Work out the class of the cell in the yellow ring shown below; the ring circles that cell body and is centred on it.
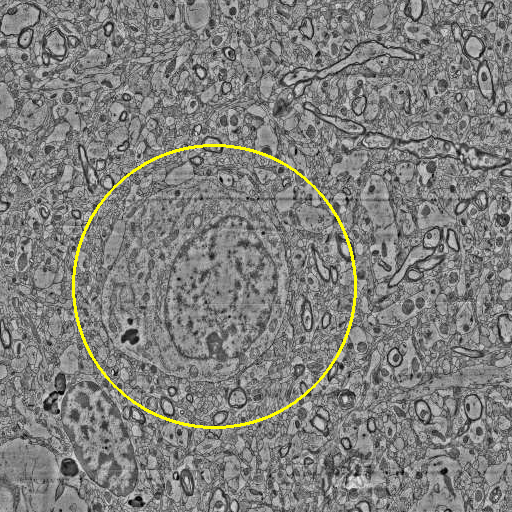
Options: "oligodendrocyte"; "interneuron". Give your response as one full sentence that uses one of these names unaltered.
The body ringed in yellow, right at the ring's centre, is that of an interneuron.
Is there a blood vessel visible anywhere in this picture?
No, the image shows no blood vessel.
